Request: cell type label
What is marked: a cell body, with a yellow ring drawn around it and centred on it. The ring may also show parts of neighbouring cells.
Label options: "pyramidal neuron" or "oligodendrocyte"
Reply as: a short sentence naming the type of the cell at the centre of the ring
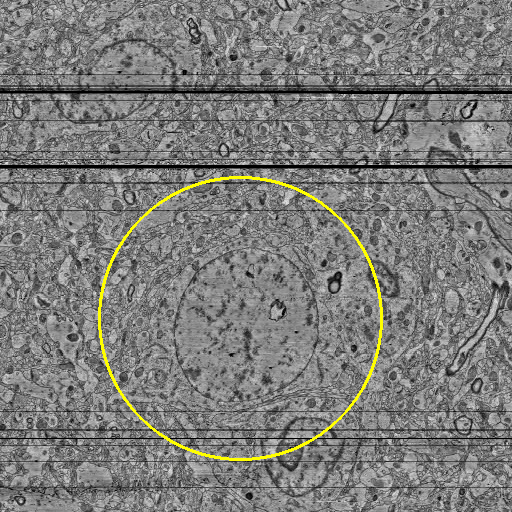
The marked cell body is that of a pyramidal neuron.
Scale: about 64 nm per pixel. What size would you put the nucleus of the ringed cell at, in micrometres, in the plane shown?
Approximately 11 by 9 micrometers in this plane.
